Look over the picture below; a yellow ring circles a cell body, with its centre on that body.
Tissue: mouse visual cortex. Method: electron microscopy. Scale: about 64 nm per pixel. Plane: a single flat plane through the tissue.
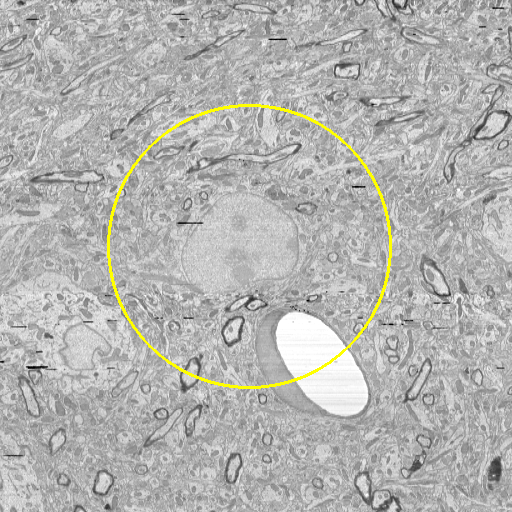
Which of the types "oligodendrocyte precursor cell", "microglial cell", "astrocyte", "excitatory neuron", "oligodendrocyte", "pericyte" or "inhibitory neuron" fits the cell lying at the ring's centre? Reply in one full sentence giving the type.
The picture shows an astrocyte at the centre of the yellow ring.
